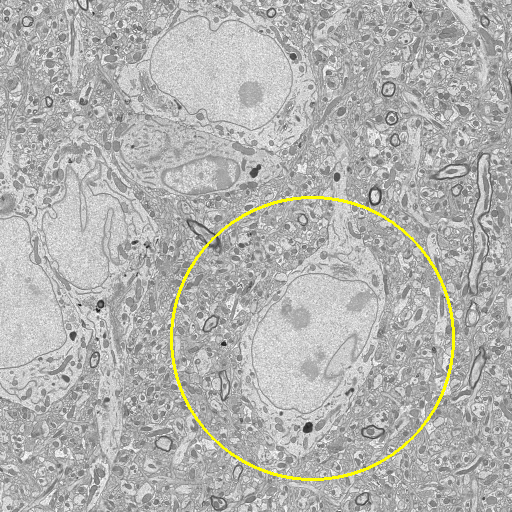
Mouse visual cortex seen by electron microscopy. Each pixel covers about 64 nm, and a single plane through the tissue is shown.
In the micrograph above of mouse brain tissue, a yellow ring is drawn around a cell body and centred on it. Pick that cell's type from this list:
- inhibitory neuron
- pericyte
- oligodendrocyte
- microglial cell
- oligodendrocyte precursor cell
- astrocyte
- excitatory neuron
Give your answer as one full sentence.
Going by the list, an excitatory neuron is the cell on which the yellow ring is centred.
